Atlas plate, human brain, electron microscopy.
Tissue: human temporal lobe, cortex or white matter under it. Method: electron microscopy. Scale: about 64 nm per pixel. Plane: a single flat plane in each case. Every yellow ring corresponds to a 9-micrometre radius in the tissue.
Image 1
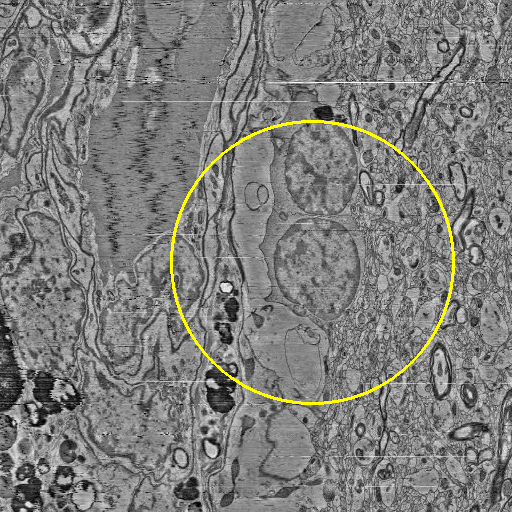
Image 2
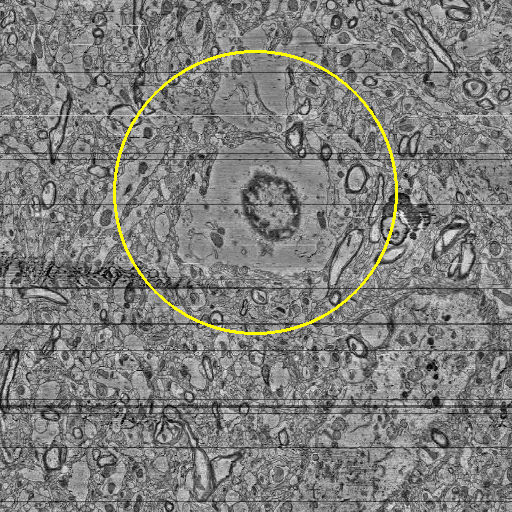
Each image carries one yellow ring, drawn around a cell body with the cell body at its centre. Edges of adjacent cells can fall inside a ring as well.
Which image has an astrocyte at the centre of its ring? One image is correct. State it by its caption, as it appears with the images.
Image 2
